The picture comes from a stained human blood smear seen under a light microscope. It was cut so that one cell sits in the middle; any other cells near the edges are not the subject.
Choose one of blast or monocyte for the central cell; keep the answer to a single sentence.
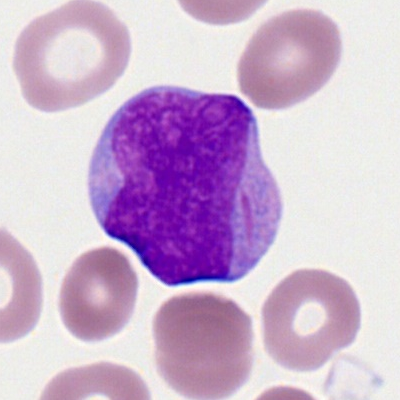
The cell found in the middle of this crop is a blast.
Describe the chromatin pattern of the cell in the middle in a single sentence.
The chromatin here is fine and lacks any coarse clumps.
